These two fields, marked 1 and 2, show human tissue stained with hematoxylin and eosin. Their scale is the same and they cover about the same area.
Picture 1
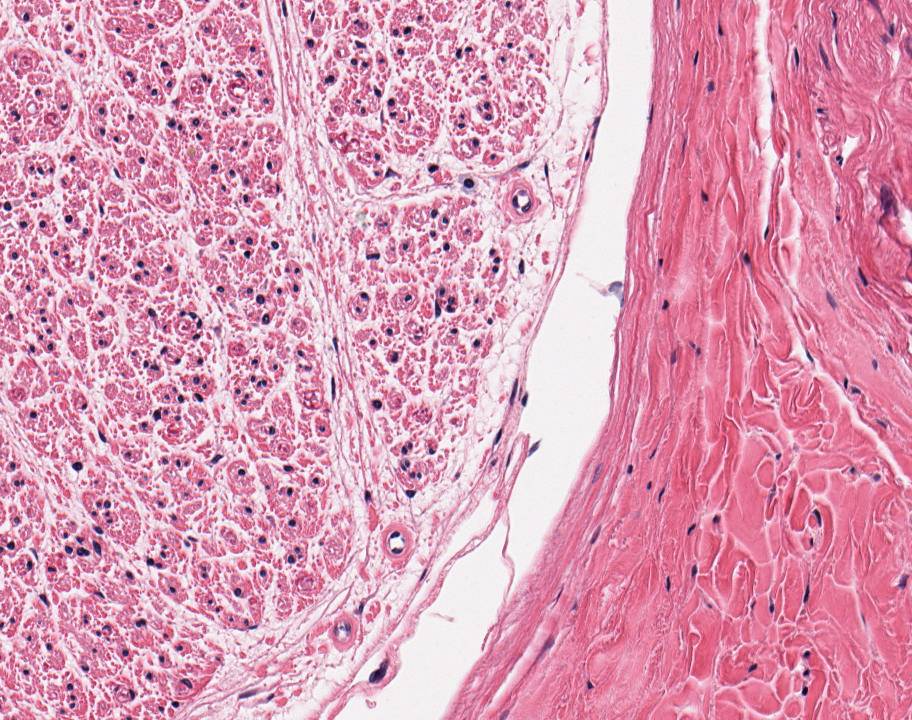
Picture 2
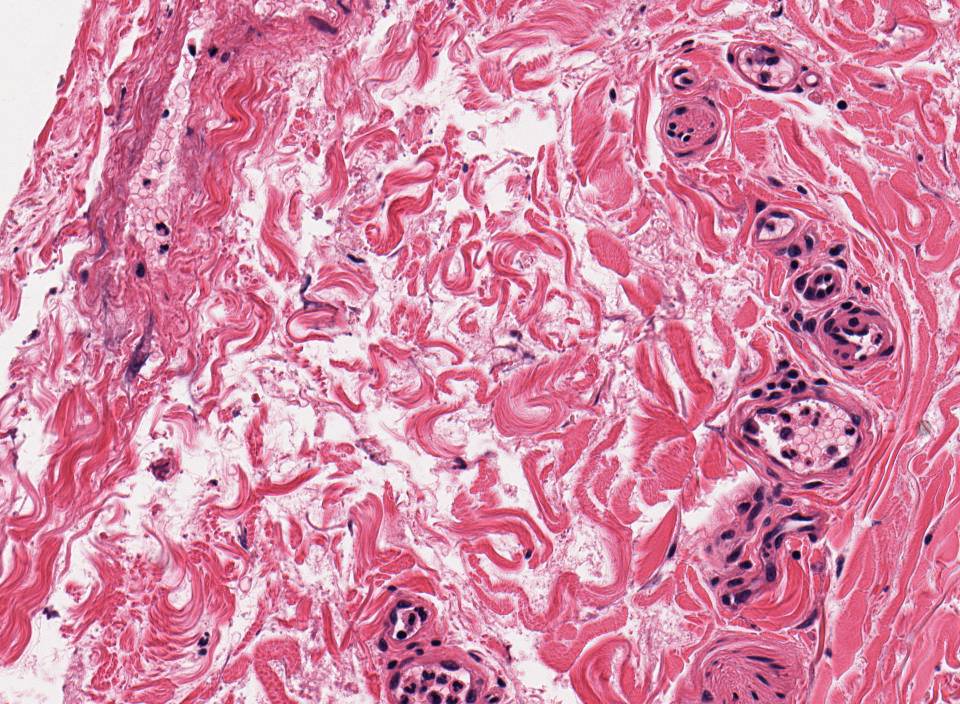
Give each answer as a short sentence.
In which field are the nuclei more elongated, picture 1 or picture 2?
It is picture 2 whose nuclei are the more elongated.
